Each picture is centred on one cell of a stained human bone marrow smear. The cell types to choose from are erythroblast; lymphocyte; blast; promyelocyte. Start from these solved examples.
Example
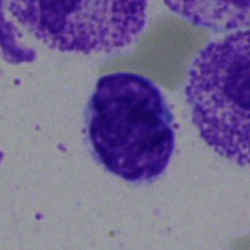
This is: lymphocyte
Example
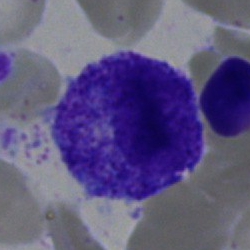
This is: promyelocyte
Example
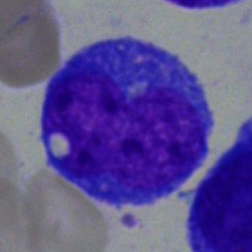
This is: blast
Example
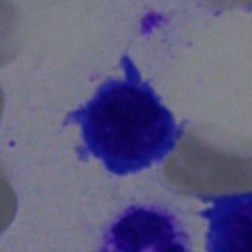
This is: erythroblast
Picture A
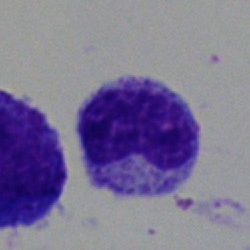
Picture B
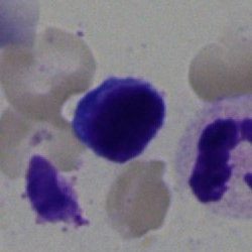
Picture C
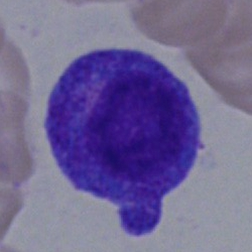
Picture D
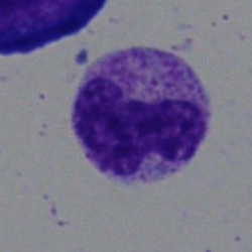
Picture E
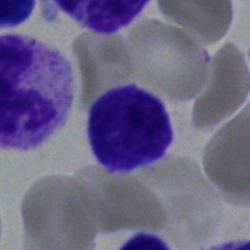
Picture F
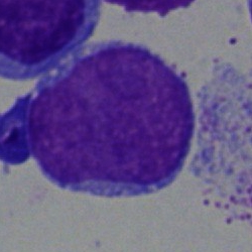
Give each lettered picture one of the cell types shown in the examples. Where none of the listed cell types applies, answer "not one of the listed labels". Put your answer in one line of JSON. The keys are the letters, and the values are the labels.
{"A": "not one of the listed labels", "B": "lymphocyte", "C": "promyelocyte", "D": "not one of the listed labels", "E": "lymphocyte", "F": "blast"}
